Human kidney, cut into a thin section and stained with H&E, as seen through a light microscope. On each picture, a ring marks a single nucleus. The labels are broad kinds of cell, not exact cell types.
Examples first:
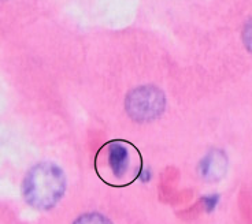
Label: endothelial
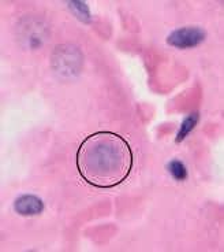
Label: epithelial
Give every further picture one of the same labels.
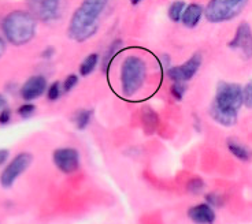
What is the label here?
endothelial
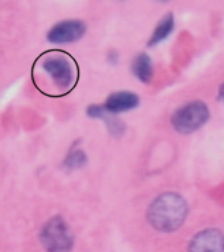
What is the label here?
endothelial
